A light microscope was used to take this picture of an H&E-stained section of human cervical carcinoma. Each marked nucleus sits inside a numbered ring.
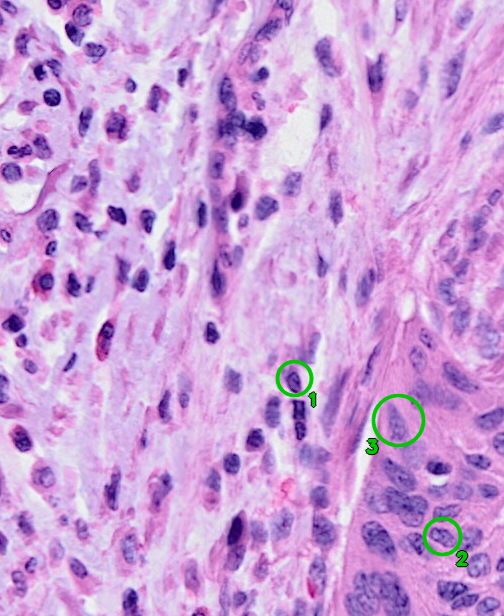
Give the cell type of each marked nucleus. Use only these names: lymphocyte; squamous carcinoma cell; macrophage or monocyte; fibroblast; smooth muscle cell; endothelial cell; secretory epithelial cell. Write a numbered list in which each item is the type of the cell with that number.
1. lymphocyte
2. squamous carcinoma cell
3. squamous carcinoma cell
